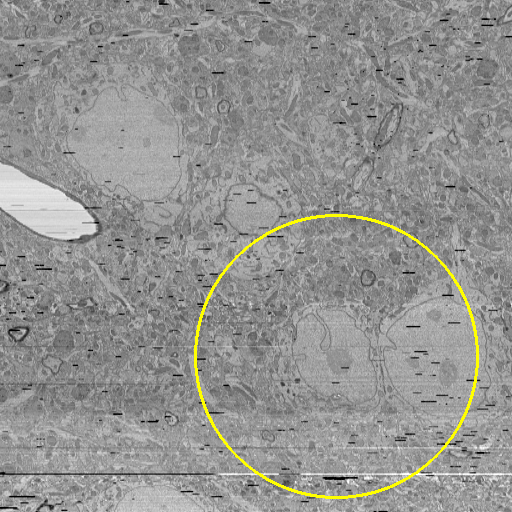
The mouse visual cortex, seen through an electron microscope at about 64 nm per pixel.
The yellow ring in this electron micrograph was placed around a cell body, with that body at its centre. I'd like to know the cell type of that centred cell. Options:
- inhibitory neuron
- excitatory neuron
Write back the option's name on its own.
inhibitory neuron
